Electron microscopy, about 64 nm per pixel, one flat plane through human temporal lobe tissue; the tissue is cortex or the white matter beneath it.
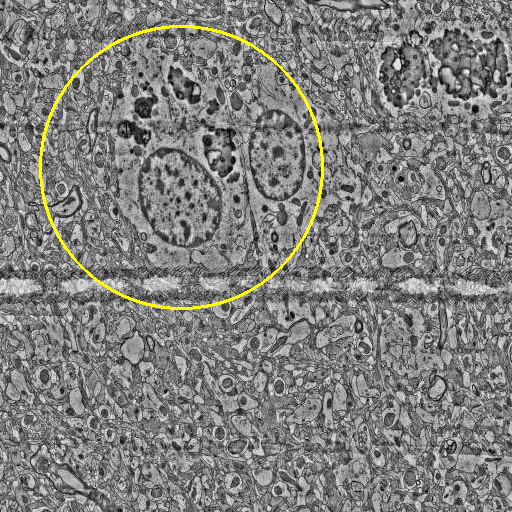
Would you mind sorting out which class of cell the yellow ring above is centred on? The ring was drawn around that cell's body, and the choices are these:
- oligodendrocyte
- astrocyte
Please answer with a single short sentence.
This is the cell body of an astrocyte.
